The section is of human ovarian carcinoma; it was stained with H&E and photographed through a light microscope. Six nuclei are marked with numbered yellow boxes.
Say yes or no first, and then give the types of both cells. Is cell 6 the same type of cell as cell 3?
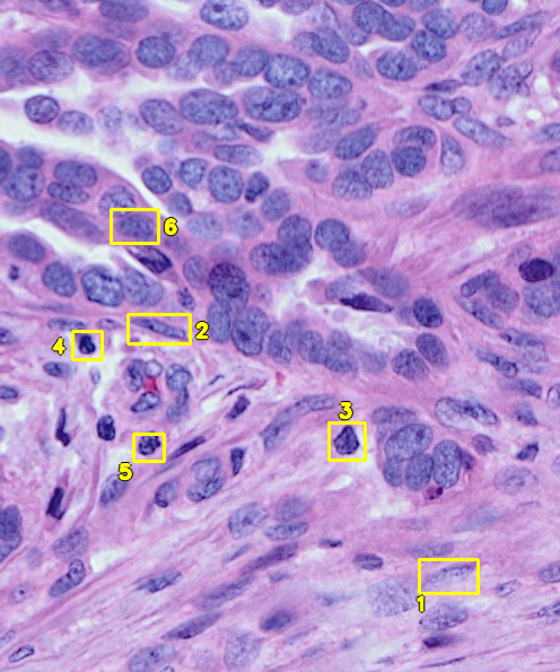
No, cell 6 is a carcinoma cell; as for cell 3, that one is a lymphocyte.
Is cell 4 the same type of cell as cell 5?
Yes, the cells bearing numbers 4 and 5 are both lymphocytes.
